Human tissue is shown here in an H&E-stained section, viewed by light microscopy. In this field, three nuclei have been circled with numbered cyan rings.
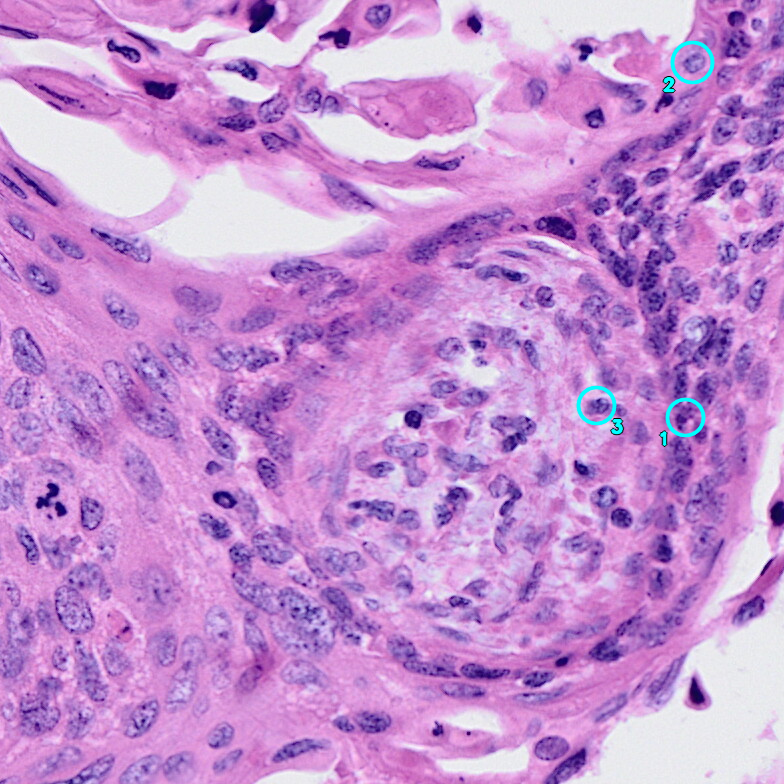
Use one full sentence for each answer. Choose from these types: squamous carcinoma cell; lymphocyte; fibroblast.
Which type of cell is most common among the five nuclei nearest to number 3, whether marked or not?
Most of the five nuclei nearest to number 3 are those of fibroblasts.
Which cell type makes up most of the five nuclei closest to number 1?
Squamous carcinoma cells make up most of the five nuclei closest to number 1.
